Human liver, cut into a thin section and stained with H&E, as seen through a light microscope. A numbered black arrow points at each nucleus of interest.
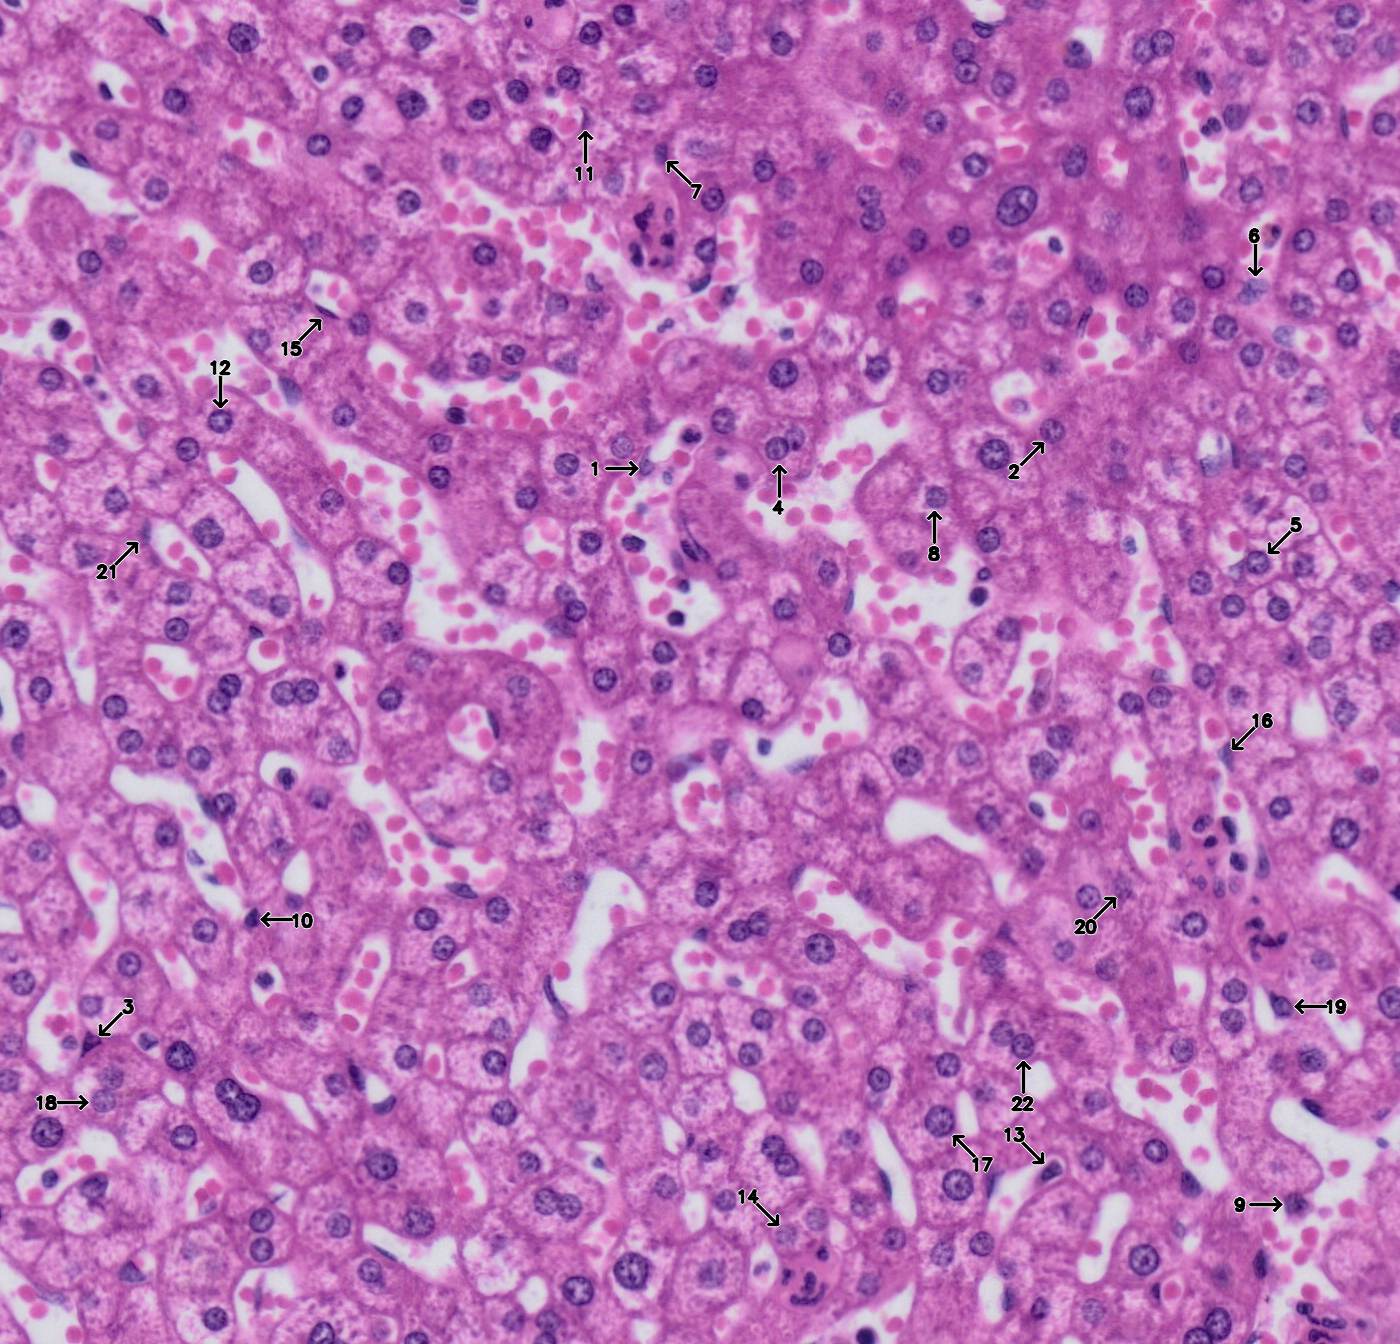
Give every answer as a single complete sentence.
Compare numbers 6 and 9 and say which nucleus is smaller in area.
The smaller nucleus is 9, and 6 covers roughly 1.5 times its area.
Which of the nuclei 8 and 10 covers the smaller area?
Nucleus 10 covers less area, with nucleus 8 about 1.5 times as large.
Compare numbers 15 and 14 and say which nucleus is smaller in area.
The smaller nucleus is 15, and 14 covers roughly 2 times its area.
